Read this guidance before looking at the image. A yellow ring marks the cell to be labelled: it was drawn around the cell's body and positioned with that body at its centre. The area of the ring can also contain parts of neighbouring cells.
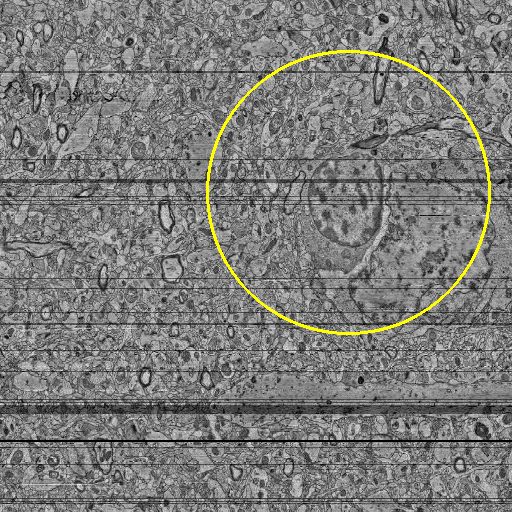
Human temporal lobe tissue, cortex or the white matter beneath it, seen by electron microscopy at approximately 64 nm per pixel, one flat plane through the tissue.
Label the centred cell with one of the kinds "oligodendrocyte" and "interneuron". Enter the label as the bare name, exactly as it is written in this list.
oligodendrocyte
